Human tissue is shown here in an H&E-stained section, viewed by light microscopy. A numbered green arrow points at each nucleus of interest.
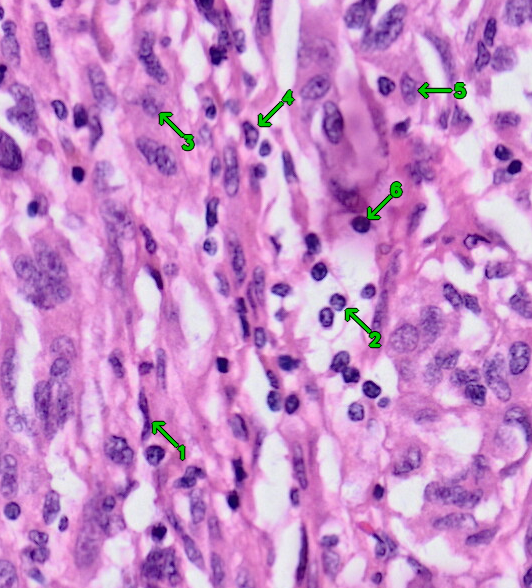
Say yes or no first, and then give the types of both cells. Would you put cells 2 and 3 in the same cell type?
No, cell 2 is a lymphocyte and cell 3 is a melanoma cell.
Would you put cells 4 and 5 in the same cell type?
No, cell 4 is a lymphocyte and cell 5 is a melanoma cell.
